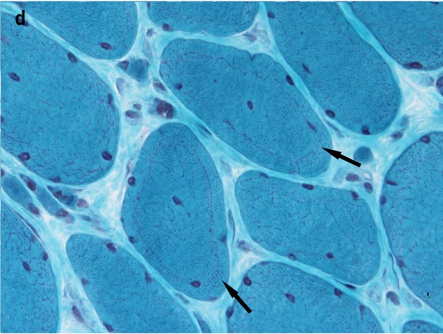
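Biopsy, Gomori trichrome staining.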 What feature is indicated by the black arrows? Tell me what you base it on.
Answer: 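A slightly darker rim runs just inside the edge of the marked fibre. The answer: peripheral band.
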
